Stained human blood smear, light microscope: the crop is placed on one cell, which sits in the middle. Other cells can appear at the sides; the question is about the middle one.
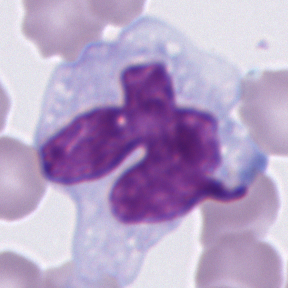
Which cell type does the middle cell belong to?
monocyte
